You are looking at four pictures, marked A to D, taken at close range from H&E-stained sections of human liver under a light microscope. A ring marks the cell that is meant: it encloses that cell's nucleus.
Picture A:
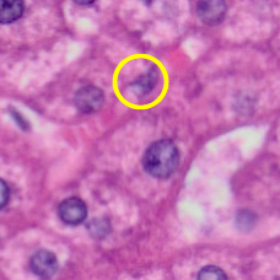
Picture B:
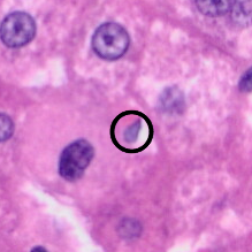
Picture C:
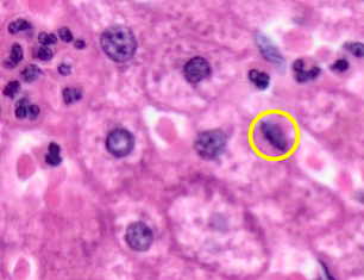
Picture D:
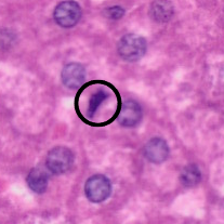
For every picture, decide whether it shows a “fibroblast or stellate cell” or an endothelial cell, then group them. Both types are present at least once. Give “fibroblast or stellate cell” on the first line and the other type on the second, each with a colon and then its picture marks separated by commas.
fibroblast or stellate cell: C, D
endothelial cell: A, B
